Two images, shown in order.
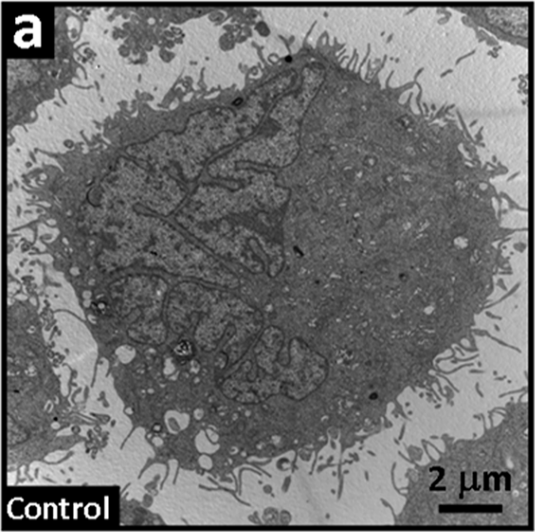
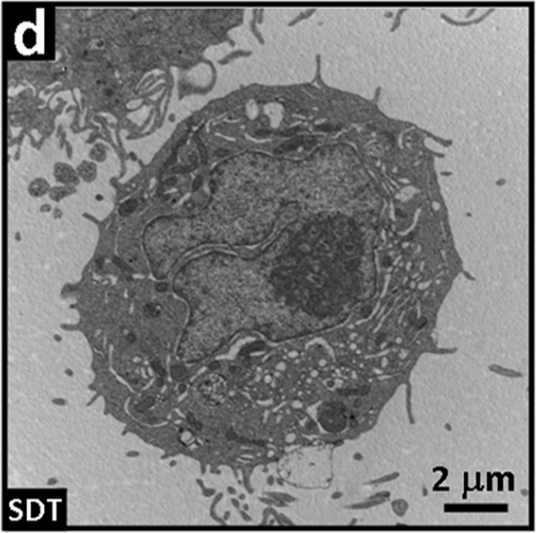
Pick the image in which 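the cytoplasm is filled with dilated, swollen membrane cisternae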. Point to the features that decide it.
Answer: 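Second image: many pale, widened tubular spaces run through the cytoplasm around the nucleus. First image: the cytoplasm is evenly granular with scattered small round vesicles and no widened tubular spaces. That points to this answer: the second image.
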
